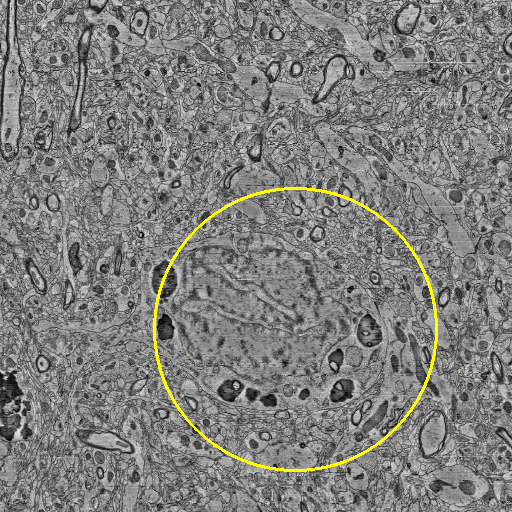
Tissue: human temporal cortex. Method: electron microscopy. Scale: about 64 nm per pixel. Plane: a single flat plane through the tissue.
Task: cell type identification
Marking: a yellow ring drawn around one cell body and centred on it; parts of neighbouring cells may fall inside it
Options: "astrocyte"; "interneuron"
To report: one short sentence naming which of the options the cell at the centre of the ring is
The cell at the centre of the ring is an interneuron.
